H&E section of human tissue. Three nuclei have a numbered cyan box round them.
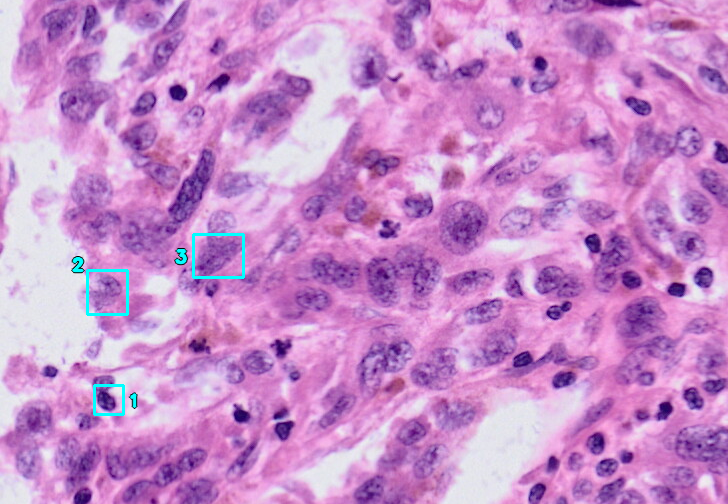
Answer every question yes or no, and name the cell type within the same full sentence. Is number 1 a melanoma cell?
No, cell number 1 is identified as a lymphocyte, not as a melanoma cell.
